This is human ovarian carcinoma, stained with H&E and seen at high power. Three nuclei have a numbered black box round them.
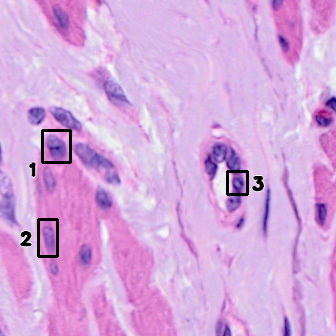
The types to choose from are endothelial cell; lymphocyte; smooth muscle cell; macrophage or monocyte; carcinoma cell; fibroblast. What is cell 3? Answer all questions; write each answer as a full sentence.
The expected answer is that cell 3 is an endothelial cell.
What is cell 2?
Belonging to a smooth muscle cell is the nucleus that carries the number 2.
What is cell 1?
In this section, number 1 marks a smooth muscle cell.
